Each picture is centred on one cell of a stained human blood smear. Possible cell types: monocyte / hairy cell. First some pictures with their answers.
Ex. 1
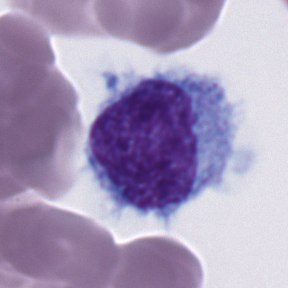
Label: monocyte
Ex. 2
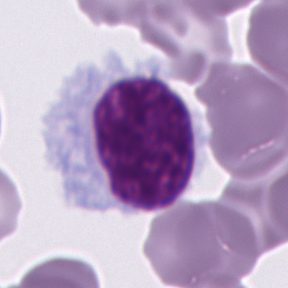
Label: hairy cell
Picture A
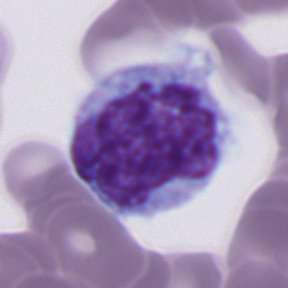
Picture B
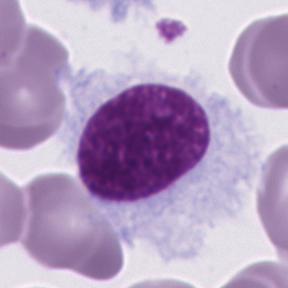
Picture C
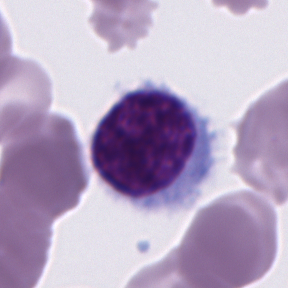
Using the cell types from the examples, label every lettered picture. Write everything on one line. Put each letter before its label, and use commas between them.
A monocyte, B hairy cell, C hairy cell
